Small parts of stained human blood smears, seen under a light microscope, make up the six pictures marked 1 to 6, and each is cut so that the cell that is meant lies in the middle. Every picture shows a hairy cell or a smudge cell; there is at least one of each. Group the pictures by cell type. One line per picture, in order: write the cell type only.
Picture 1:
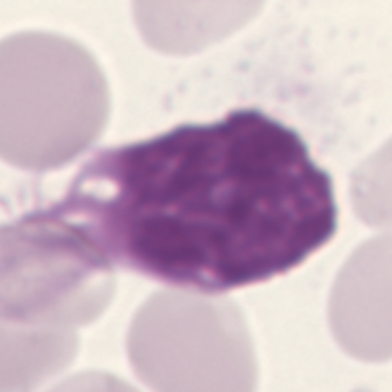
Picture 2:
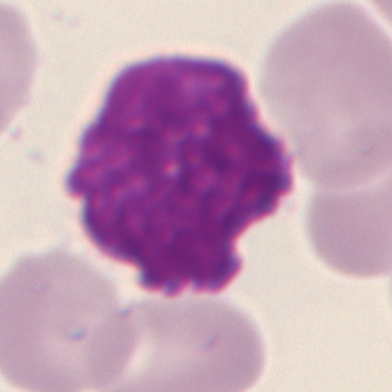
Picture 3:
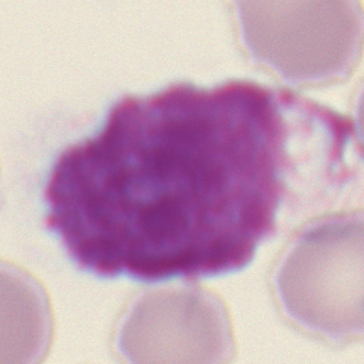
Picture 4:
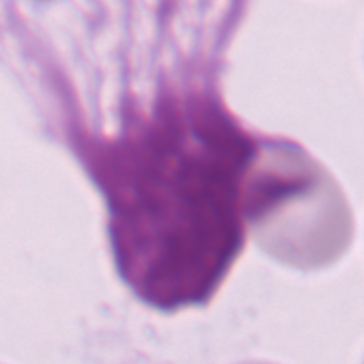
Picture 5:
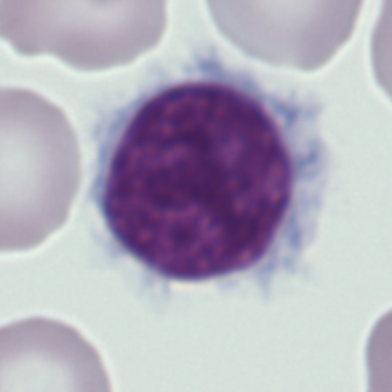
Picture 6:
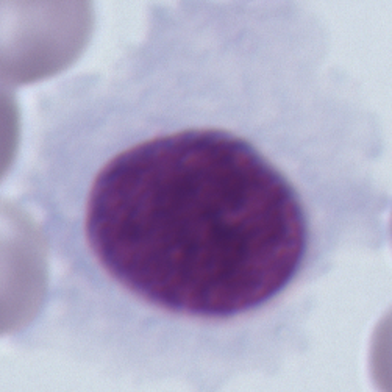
smudge cell
smudge cell
smudge cell
smudge cell
hairy cell
hairy cell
